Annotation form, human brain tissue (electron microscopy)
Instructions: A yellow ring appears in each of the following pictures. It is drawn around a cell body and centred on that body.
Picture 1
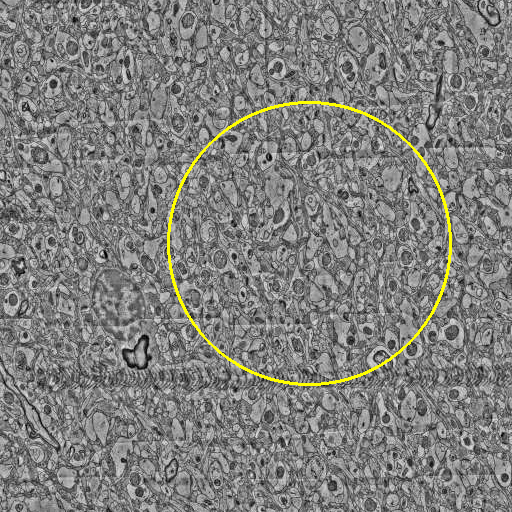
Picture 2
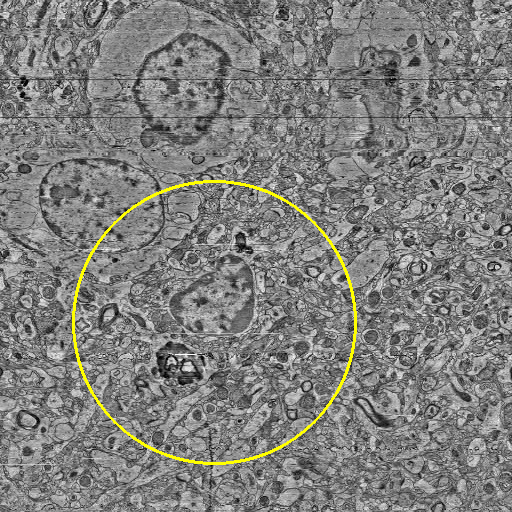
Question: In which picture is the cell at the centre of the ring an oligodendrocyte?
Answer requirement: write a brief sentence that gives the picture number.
The cell at the centre of the ring in Picture 1 is the one asked for.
